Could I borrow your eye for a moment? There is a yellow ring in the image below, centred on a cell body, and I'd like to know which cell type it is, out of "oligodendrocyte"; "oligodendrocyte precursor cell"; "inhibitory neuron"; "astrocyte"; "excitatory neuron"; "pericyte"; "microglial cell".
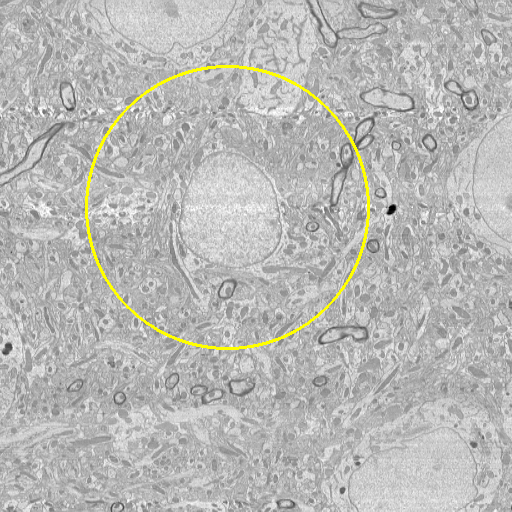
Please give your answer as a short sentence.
The cell body at the centre is that of an astrocyte.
